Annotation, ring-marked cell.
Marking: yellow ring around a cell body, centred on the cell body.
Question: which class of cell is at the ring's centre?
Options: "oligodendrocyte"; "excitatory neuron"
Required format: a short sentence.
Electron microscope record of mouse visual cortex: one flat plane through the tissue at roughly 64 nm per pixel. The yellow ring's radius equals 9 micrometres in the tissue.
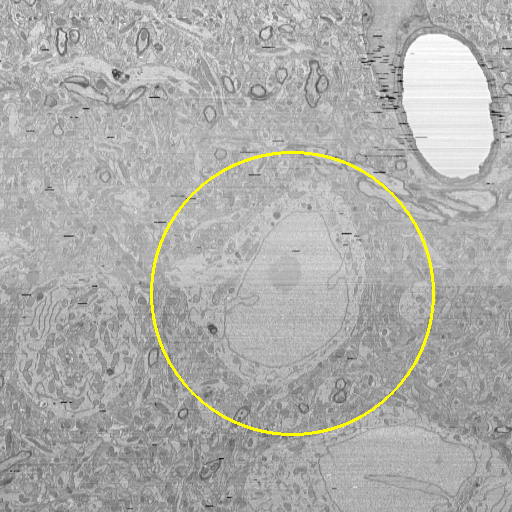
At the ring's centre is an excitatory neuron.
